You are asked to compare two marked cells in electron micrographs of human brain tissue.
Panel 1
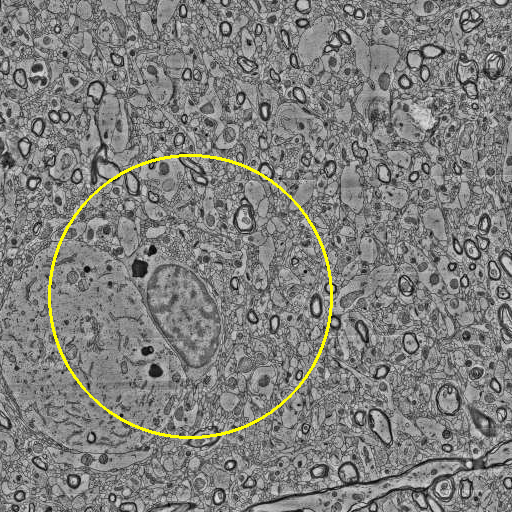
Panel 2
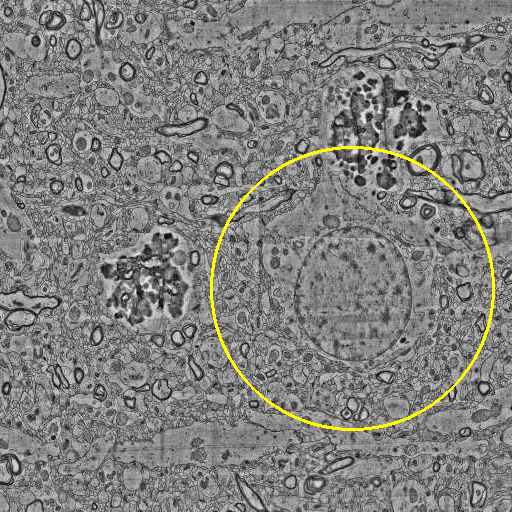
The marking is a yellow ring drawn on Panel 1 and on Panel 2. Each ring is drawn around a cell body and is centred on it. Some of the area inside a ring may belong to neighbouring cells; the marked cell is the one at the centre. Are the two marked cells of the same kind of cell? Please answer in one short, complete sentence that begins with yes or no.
No, the two marked cells are of two kinds.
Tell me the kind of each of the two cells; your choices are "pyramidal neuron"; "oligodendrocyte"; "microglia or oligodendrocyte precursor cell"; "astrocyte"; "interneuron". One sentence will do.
The ringed cell is an oligodendrocyte in the first picture and an astrocyte in the second picture.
